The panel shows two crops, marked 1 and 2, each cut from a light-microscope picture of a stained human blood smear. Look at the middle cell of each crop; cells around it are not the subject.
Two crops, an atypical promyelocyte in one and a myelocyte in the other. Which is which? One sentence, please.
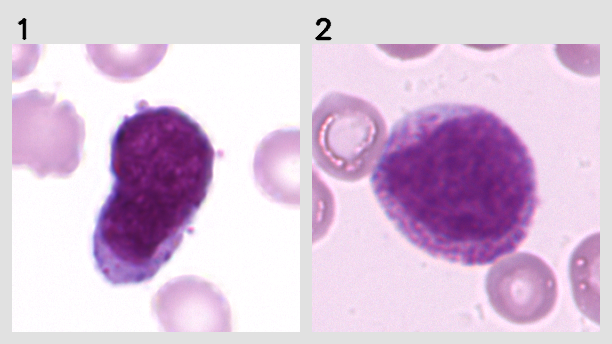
The central cell of crop 1 is an atypical promyelocyte, and that of crop 2 is a myelocyte.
